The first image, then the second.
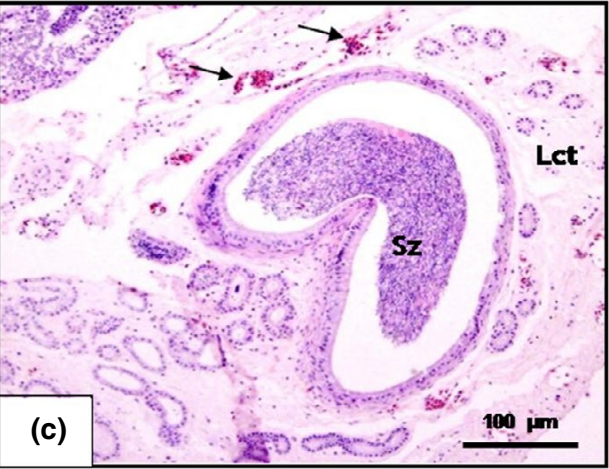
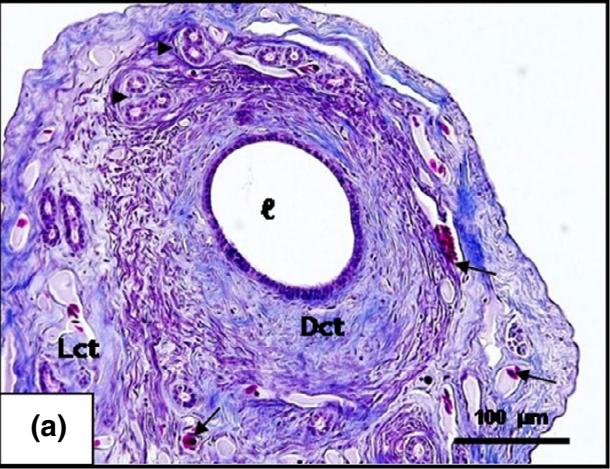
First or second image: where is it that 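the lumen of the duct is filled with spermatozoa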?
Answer: The first image.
